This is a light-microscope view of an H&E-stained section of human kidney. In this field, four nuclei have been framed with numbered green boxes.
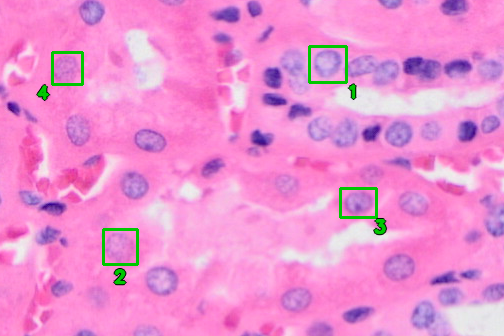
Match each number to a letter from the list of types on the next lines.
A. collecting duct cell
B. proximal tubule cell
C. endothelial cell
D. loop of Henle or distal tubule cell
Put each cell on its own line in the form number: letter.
1: A
2: B
3: B
4: B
